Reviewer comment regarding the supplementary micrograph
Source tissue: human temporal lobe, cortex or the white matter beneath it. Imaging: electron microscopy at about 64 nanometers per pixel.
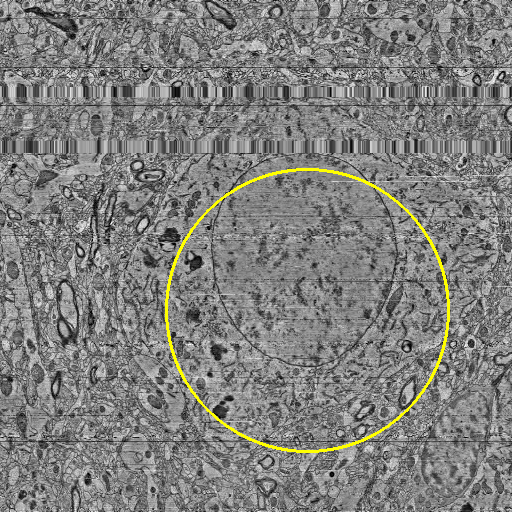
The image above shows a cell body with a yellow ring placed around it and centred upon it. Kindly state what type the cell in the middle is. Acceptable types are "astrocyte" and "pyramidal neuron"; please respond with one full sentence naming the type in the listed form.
In the image above, the cell on which the yellow ring is centred is a pyramidal neuron.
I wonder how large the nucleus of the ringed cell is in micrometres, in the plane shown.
Approximately 14 micrometres long and 12 micrometres wide, in this plane.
